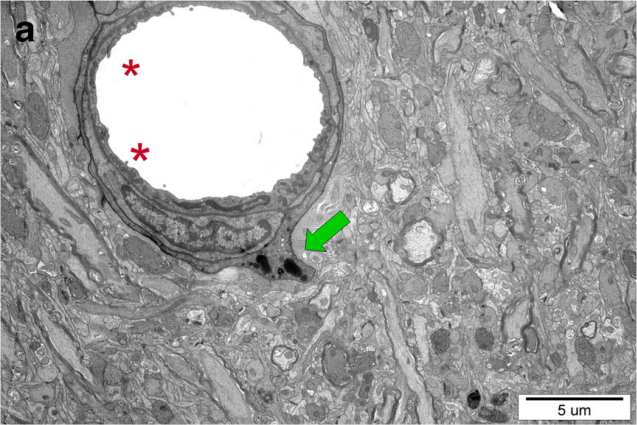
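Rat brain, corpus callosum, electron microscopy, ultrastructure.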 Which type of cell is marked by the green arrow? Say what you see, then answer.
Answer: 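The arrow points to a cell at the outer wall of a blood vessel. This cell contains several very dark, dense inclusions.
Macrophage cell.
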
